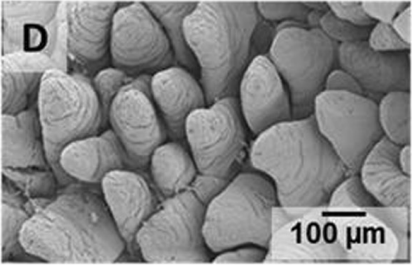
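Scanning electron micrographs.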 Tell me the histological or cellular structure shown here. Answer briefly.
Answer: villi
